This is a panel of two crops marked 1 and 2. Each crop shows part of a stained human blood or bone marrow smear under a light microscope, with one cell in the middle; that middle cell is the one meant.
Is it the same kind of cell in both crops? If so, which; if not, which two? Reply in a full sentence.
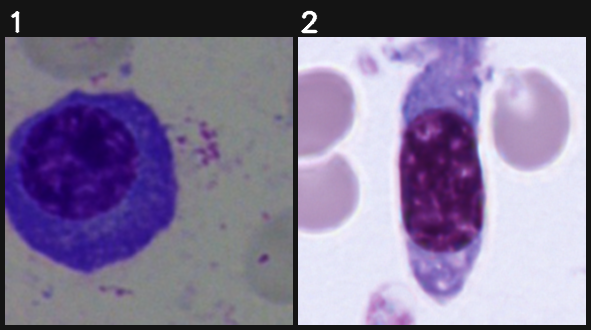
Yes, that is right, both crops show plasma cells.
